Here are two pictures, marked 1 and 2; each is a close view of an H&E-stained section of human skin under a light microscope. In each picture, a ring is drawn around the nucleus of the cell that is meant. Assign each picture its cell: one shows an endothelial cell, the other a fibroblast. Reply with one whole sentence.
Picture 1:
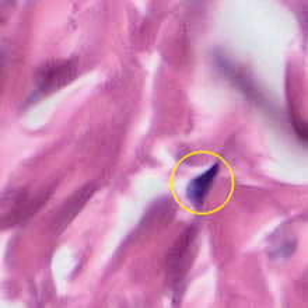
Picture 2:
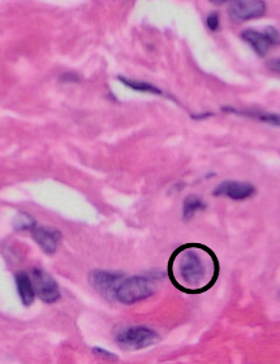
Picture 1 is of a fibroblast, and picture 2 is of an endothelial cell.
